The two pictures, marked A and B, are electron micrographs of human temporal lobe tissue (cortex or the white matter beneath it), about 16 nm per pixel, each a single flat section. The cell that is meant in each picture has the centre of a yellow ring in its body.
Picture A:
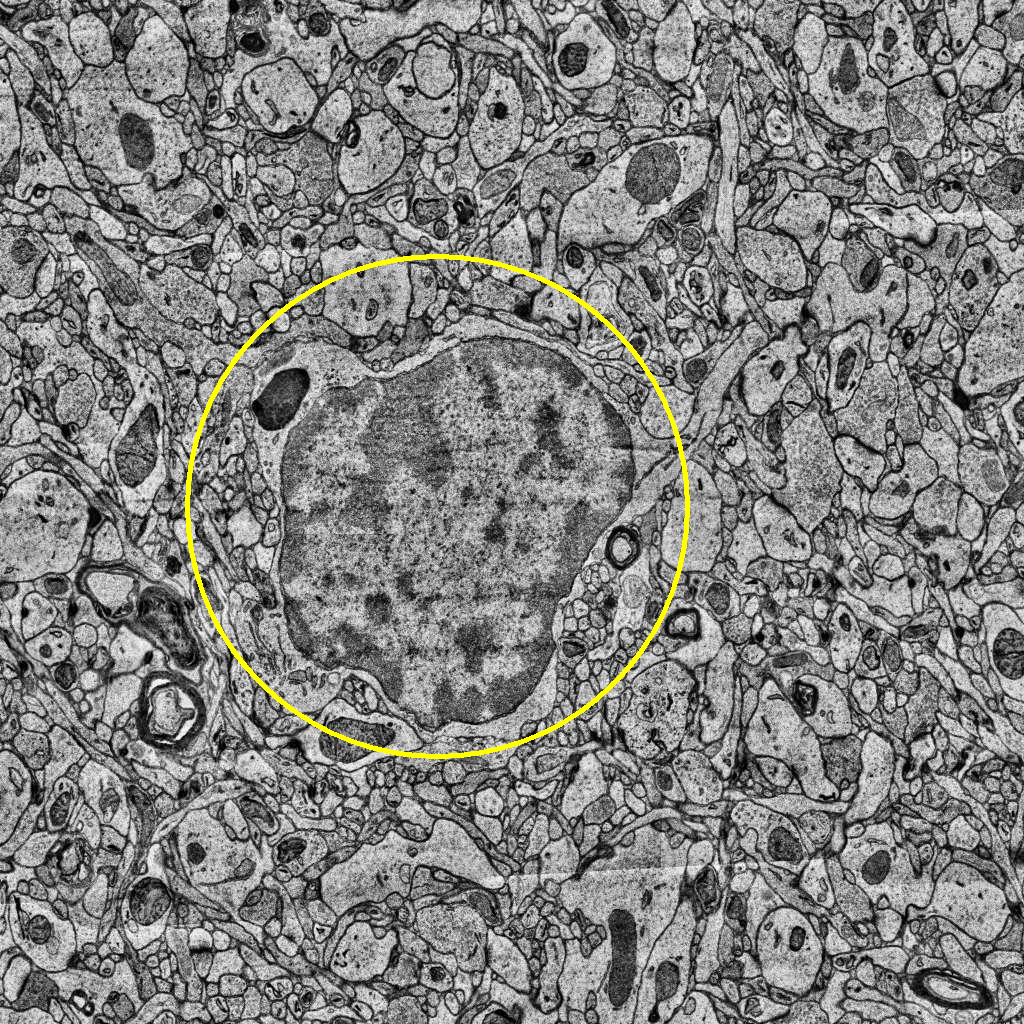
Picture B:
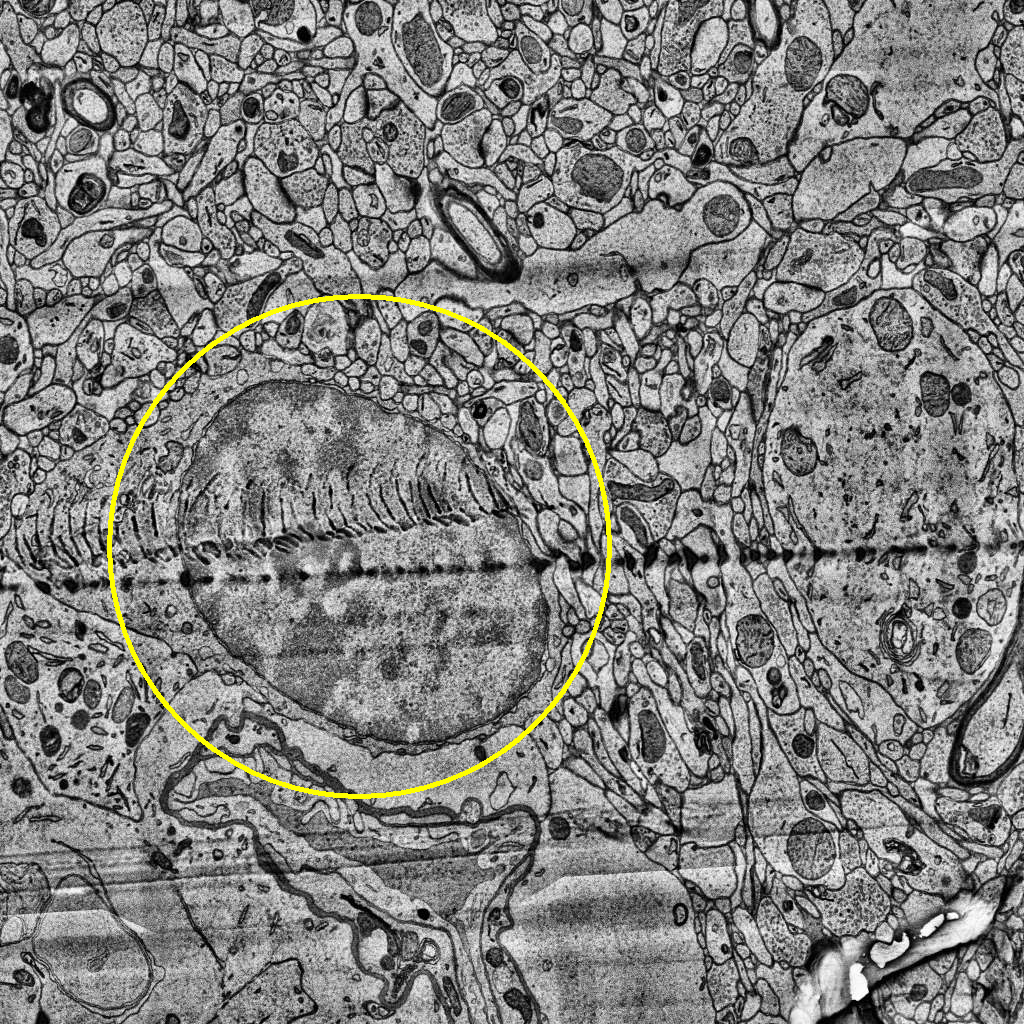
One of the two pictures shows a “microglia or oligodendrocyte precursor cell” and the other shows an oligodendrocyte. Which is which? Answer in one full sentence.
Picture B shows an oligodendrocyte, while picture A shows a “microglia or oligodendrocyte precursor cell”.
